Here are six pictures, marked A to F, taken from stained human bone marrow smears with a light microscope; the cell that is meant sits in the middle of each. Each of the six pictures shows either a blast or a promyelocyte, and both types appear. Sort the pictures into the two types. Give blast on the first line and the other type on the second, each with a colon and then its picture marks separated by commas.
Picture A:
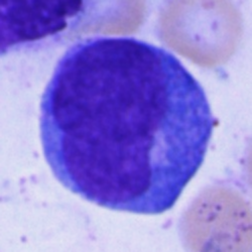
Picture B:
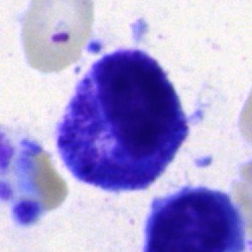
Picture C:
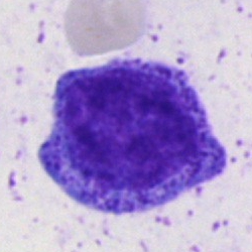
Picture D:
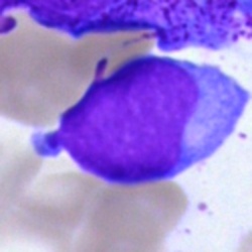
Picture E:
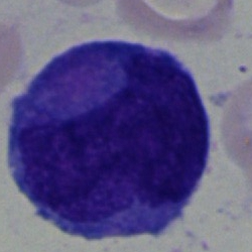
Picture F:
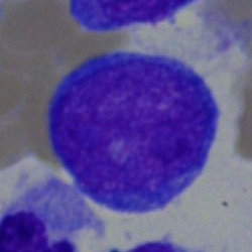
blast: A, D, E, F
promyelocyte: B, C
